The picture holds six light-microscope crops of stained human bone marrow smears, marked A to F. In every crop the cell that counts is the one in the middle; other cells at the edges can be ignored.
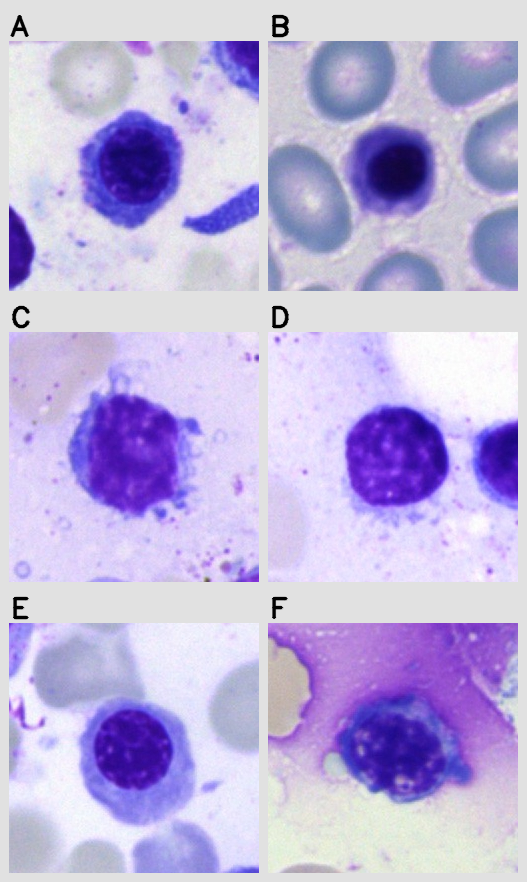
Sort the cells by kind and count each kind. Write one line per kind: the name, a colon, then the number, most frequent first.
normoblast: 4
lymphocyte: 2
